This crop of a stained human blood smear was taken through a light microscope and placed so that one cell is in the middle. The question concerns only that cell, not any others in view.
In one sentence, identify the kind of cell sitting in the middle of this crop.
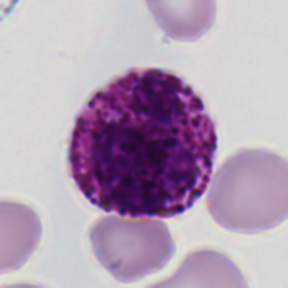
On this slide crop, the central cell is a basophil.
